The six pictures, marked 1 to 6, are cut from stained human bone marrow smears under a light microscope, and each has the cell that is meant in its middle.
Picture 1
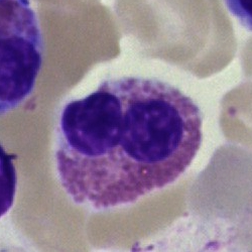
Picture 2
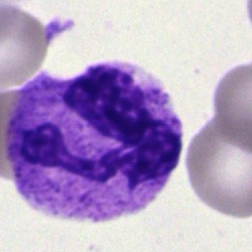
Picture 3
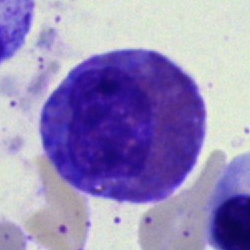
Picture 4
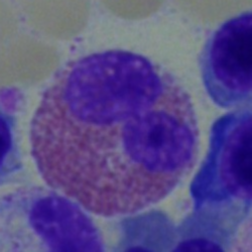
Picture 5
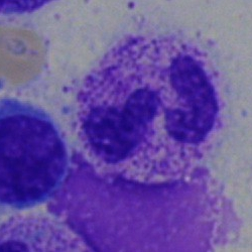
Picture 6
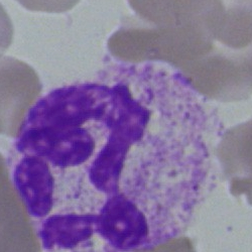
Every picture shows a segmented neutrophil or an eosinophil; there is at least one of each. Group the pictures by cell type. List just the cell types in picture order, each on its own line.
eosinophil
segmented neutrophil
eosinophil
eosinophil
segmented neutrophil
segmented neutrophil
